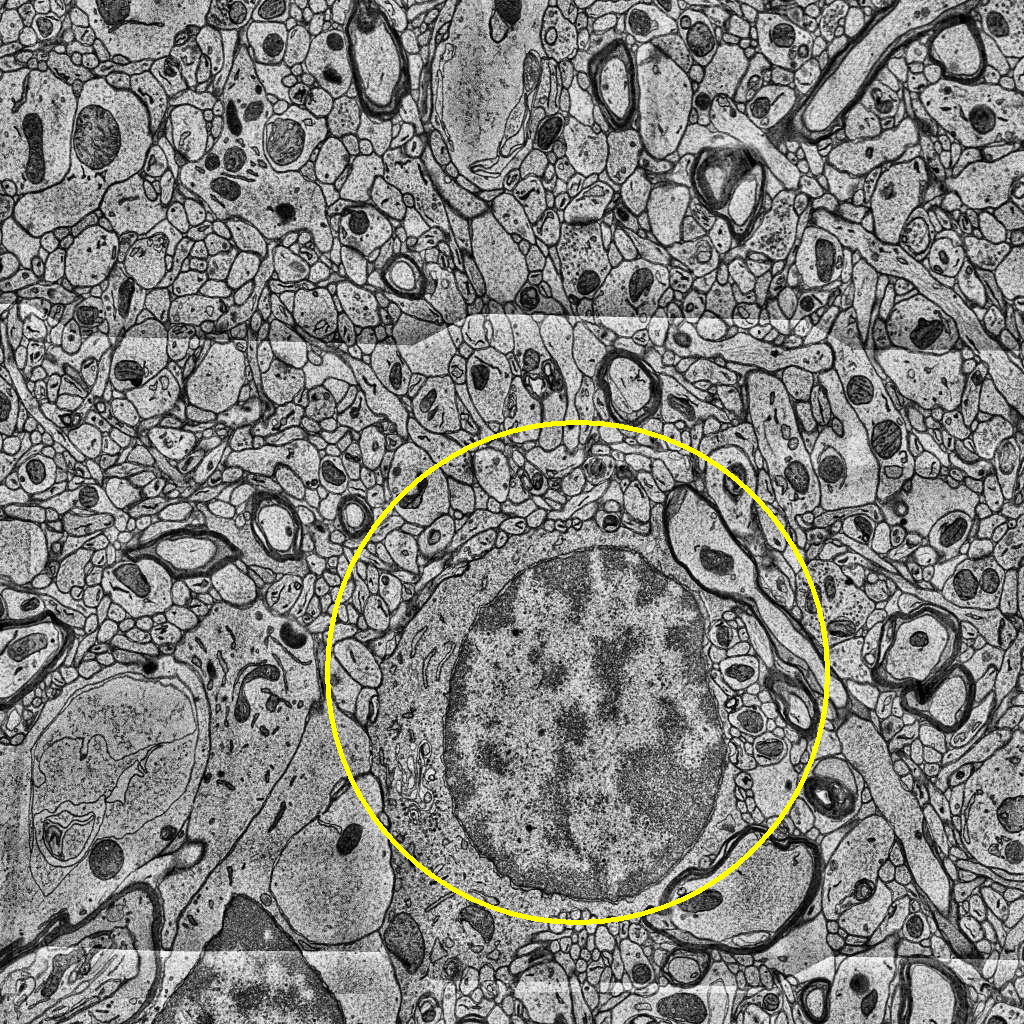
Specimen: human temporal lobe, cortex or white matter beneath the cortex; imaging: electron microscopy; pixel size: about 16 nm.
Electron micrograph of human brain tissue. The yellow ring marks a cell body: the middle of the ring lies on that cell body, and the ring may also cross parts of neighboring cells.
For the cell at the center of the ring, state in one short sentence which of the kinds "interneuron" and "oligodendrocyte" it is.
This ring's center lies on an oligodendrocyte.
